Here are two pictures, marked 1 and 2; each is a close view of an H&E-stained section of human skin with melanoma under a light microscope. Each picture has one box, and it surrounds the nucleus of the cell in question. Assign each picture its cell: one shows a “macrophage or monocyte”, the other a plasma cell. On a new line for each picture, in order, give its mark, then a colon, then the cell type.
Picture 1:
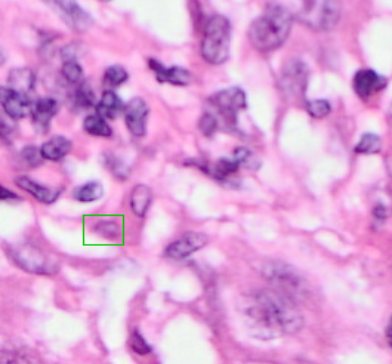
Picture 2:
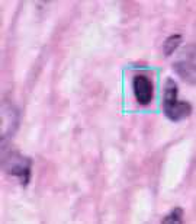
1: macrophage or monocyte
2: plasma cell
